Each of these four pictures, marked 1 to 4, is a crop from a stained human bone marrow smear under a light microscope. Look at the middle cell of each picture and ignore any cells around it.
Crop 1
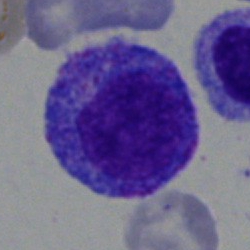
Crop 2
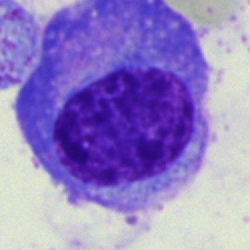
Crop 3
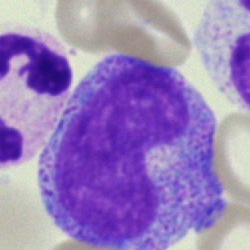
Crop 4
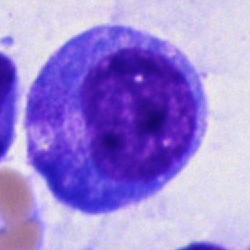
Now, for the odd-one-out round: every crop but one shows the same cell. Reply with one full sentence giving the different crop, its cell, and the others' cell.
Crop 2 is the exception in this set, showing a plasma cell while the others show promyelocytes.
